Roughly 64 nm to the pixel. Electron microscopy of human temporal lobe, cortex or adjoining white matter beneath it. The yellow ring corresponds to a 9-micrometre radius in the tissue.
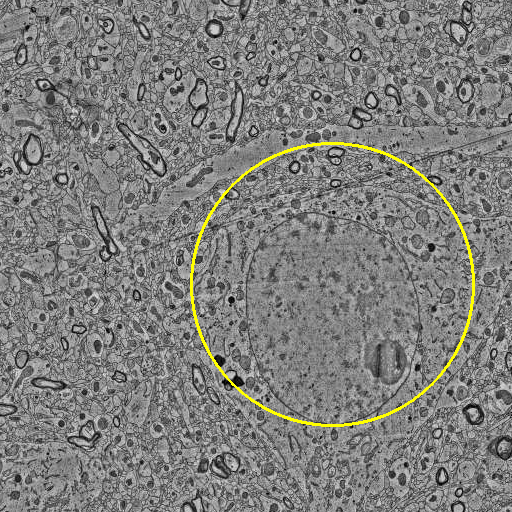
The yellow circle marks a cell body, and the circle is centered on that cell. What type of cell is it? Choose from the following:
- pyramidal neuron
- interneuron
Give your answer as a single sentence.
This cell body belongs to a pyramidal neuron.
